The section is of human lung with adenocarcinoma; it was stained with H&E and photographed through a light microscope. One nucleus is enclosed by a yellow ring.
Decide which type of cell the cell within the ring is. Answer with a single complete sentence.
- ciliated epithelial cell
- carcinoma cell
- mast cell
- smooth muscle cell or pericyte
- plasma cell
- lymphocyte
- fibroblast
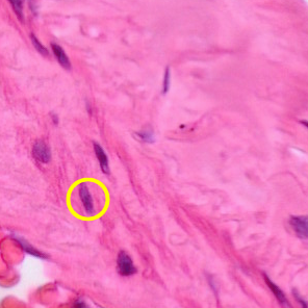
The cell type of the cell within the ring is that of a smooth muscle cell or pericyte.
